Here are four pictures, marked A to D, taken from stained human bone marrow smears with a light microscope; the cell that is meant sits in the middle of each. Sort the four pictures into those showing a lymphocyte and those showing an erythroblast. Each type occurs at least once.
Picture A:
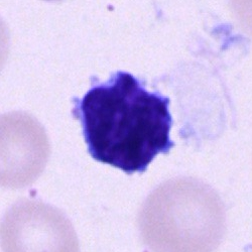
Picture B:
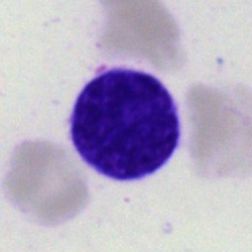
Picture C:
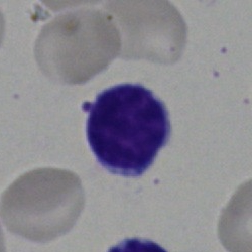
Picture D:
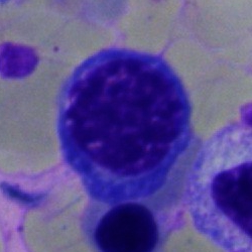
A: lymphocyte
B: lymphocyte
C: lymphocyte
D: erythroblast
